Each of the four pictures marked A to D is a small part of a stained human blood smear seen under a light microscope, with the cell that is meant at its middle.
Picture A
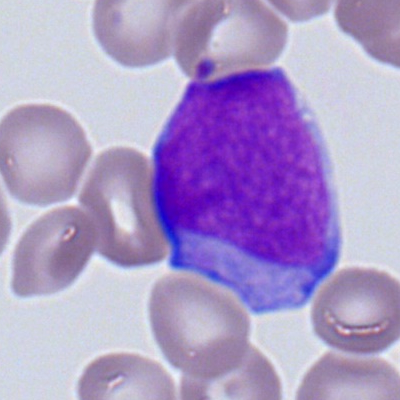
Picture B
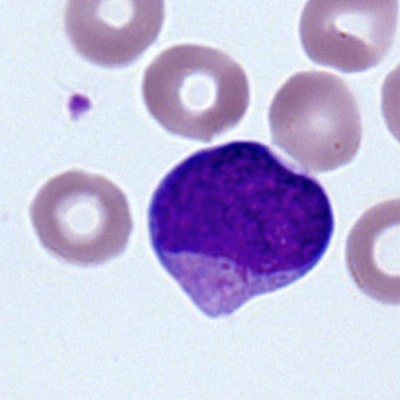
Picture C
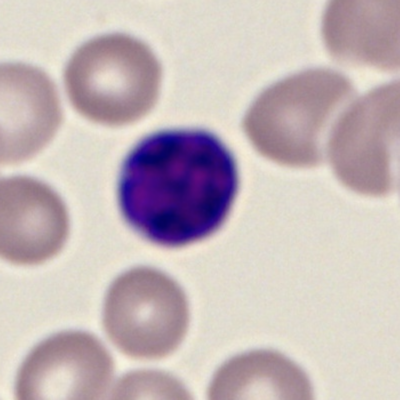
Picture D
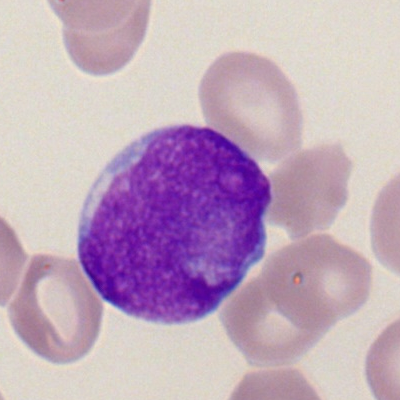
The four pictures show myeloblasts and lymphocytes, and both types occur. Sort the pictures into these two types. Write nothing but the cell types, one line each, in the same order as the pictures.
myeloblast
myeloblast
lymphocyte
myeloblast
